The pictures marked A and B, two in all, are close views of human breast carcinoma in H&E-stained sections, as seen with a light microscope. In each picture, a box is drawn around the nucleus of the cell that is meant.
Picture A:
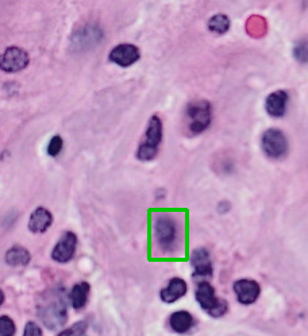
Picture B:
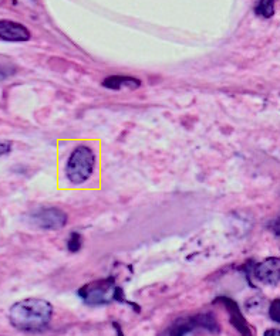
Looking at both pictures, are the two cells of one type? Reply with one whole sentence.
Yes, the two pictures both show mast cells.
